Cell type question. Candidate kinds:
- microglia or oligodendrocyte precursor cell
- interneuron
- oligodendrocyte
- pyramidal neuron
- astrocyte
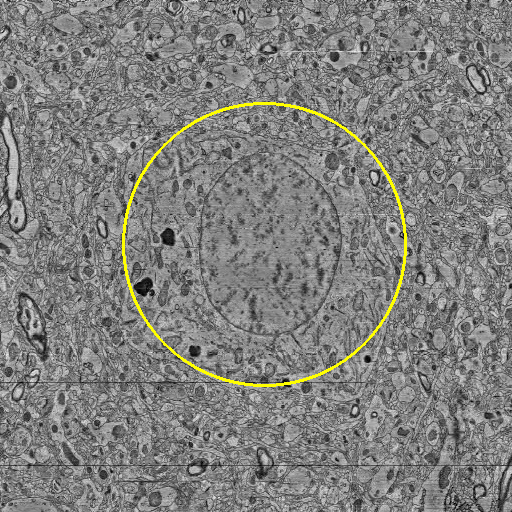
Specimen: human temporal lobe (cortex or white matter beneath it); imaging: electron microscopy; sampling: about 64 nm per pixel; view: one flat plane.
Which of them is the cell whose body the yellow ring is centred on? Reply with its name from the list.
interneuron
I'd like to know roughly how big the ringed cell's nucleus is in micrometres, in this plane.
In this plane, about 12 micrometres in length and 9 in width.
